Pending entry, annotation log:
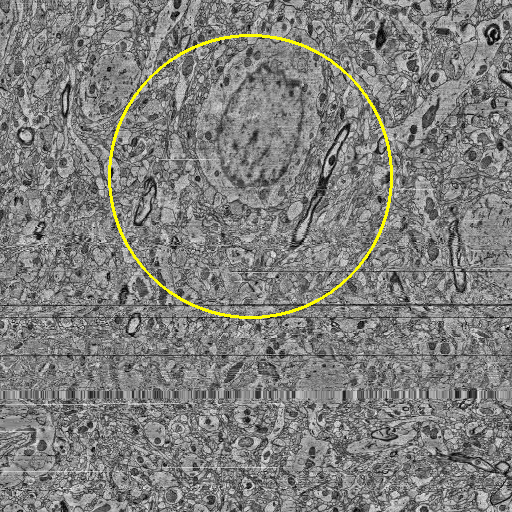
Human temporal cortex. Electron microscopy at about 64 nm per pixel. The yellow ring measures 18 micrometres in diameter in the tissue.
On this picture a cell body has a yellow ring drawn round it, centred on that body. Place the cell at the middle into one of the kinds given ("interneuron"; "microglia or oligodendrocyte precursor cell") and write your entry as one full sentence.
The cell body at the middle of the yellow ring belongs to an interneuron.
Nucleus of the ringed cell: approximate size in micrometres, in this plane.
Approximately 8 by 5 micrometers, which makes the nucleus clearly longer than it is wide in this plane.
